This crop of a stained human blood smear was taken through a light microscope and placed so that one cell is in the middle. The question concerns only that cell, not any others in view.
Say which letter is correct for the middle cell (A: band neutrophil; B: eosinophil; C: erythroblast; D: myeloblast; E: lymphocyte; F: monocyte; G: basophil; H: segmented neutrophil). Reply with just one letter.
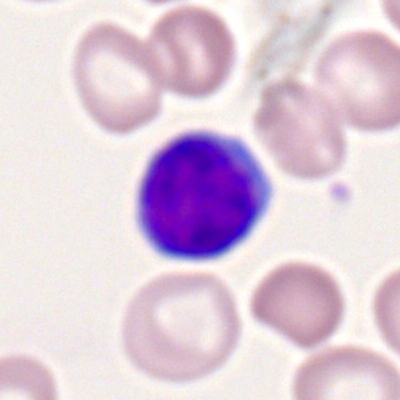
E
